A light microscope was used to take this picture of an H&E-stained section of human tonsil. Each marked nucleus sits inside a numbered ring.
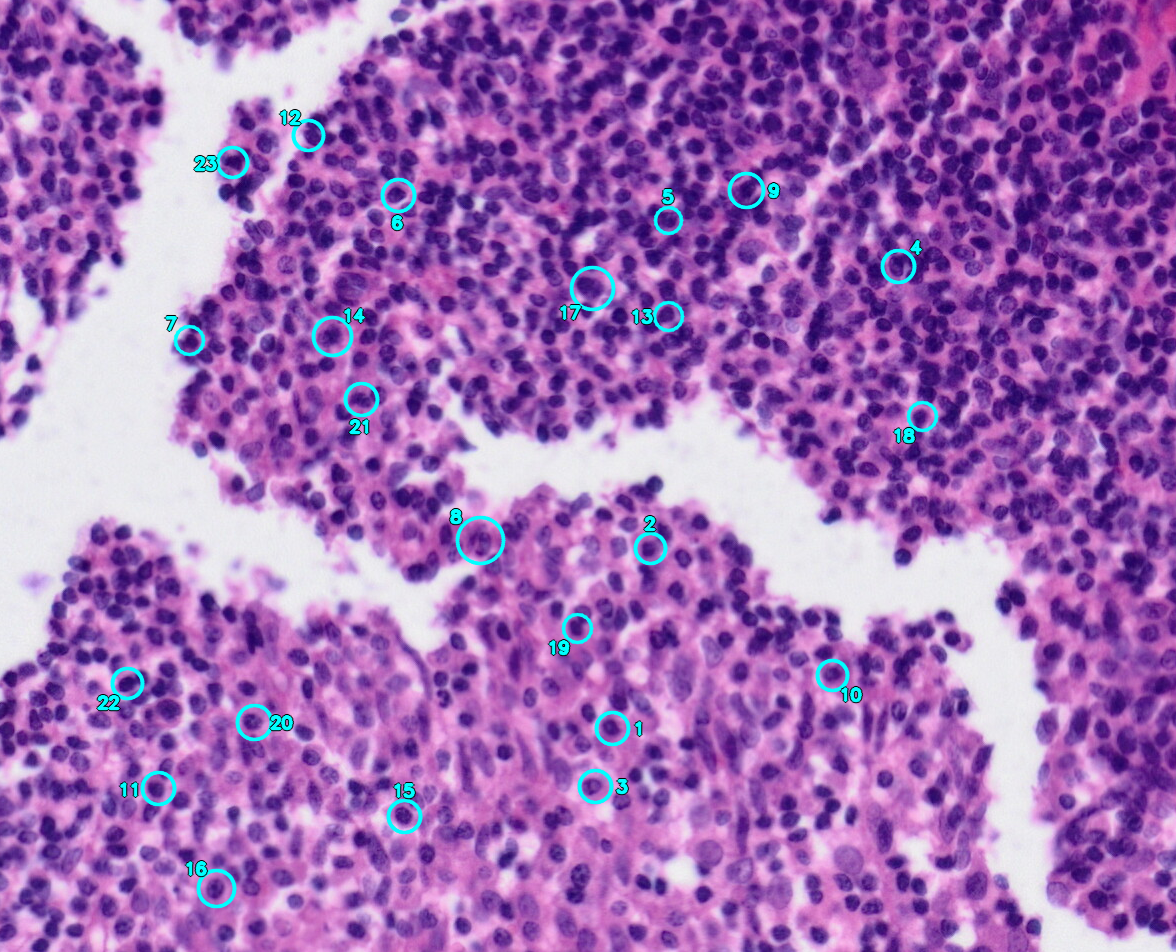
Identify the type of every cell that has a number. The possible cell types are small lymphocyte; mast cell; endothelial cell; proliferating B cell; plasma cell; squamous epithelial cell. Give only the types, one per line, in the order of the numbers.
plasma cell
plasma cell
plasma cell
small lymphocyte
small lymphocyte
small lymphocyte
small lymphocyte
squamous epithelial cell
small lymphocyte
plasma cell
plasma cell
small lymphocyte
small lymphocyte
plasma cell
plasma cell
plasma cell
proliferating B cell
small lymphocyte
plasma cell
plasma cell
plasma cell
small lymphocyte
small lymphocyte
